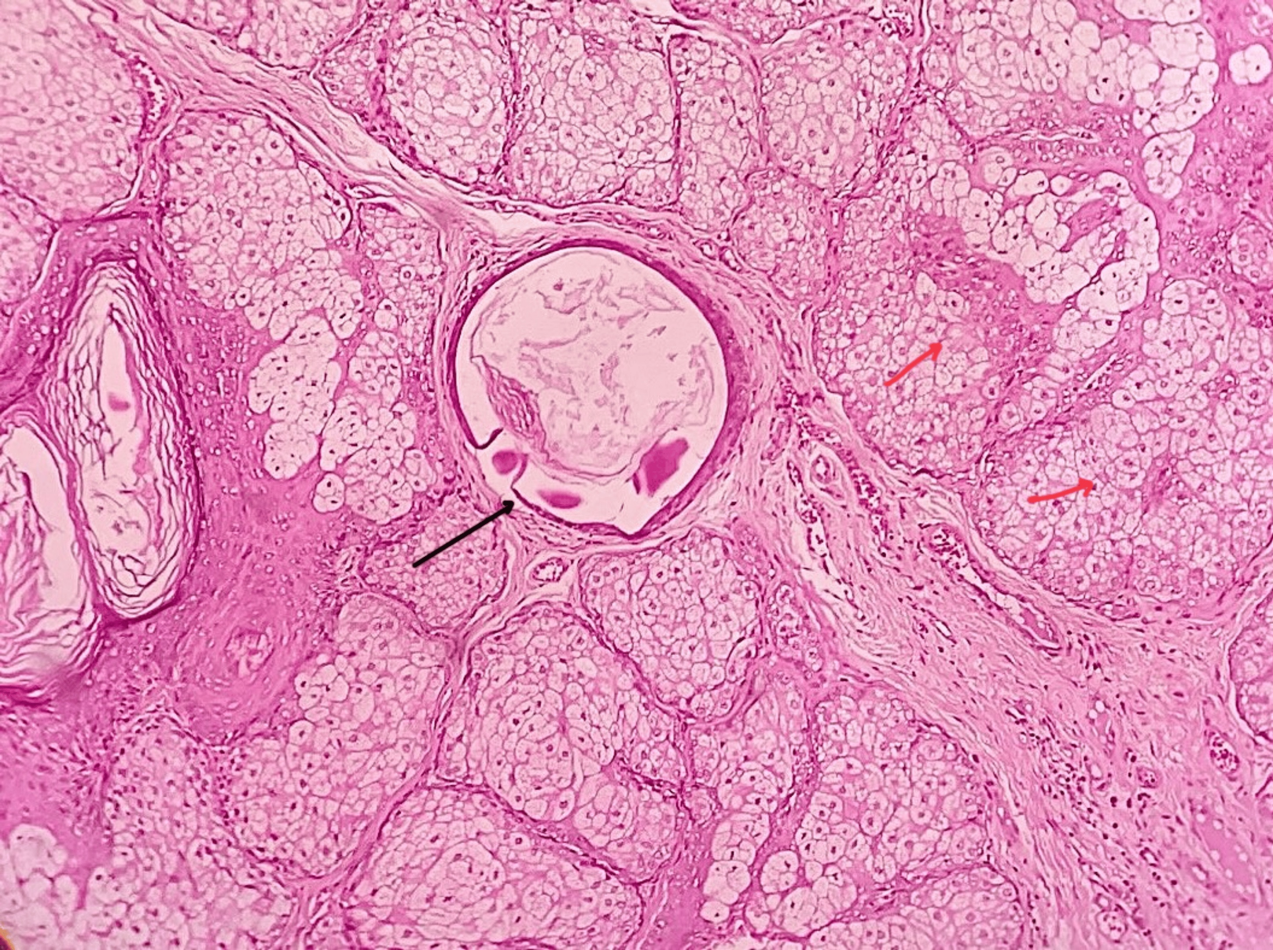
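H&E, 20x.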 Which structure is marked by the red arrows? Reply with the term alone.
Sebaceous acini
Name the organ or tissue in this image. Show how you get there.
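Many large lobules of pale, foamy, vacuolated cells crowd the whole field. The lobules cluster around dilated lumens containing flaky pink material.
Conclusion: hyperplastic sebaceous glands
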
